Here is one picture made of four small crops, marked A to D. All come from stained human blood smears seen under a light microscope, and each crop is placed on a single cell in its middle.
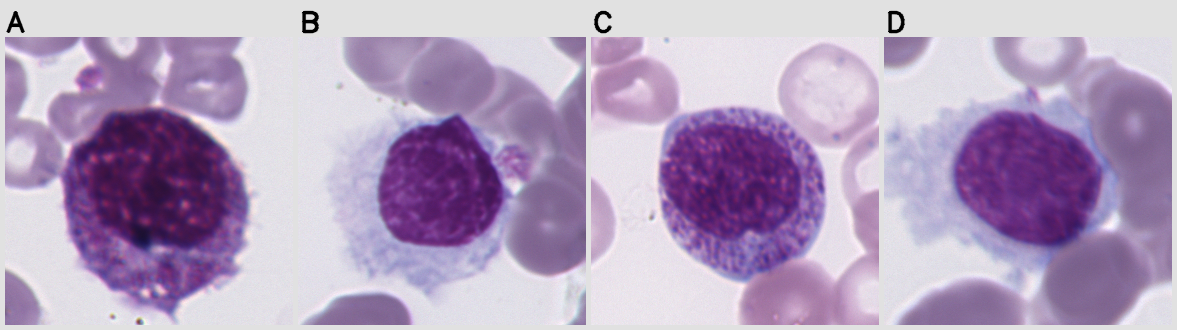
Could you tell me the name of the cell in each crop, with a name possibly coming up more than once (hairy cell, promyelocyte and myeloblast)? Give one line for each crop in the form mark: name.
A: promyelocyte
B: hairy cell
C: promyelocyte
D: hairy cell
